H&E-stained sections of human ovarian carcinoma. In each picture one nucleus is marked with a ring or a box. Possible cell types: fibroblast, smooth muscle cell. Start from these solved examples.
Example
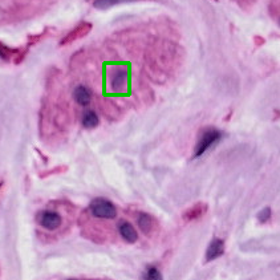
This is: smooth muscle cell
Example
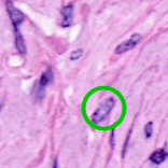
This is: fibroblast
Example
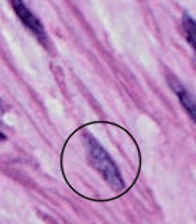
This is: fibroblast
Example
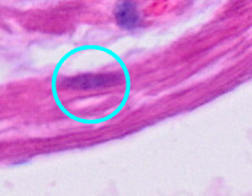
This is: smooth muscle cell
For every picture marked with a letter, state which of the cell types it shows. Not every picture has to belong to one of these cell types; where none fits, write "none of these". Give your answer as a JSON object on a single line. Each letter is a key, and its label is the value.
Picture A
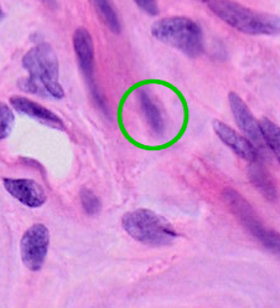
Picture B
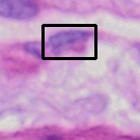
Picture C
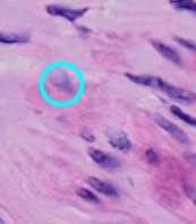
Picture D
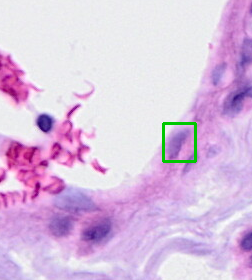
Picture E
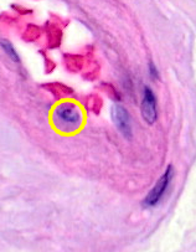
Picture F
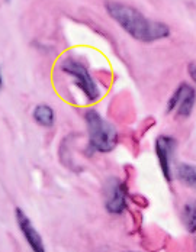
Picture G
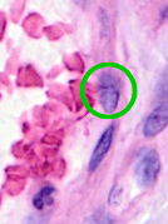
{"A": "smooth muscle cell", "B": "none of these", "C": "smooth muscle cell", "D": "none of these", "E": "none of these", "F": "none of these", "G": "none of these"}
